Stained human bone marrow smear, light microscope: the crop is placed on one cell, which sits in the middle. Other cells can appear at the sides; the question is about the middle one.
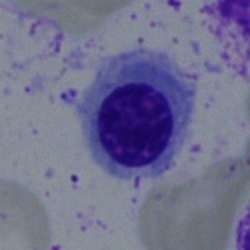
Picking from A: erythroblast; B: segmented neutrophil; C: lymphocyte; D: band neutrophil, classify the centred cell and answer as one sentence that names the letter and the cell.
Of the options given, A is correct, the central cell being an erythroblast.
